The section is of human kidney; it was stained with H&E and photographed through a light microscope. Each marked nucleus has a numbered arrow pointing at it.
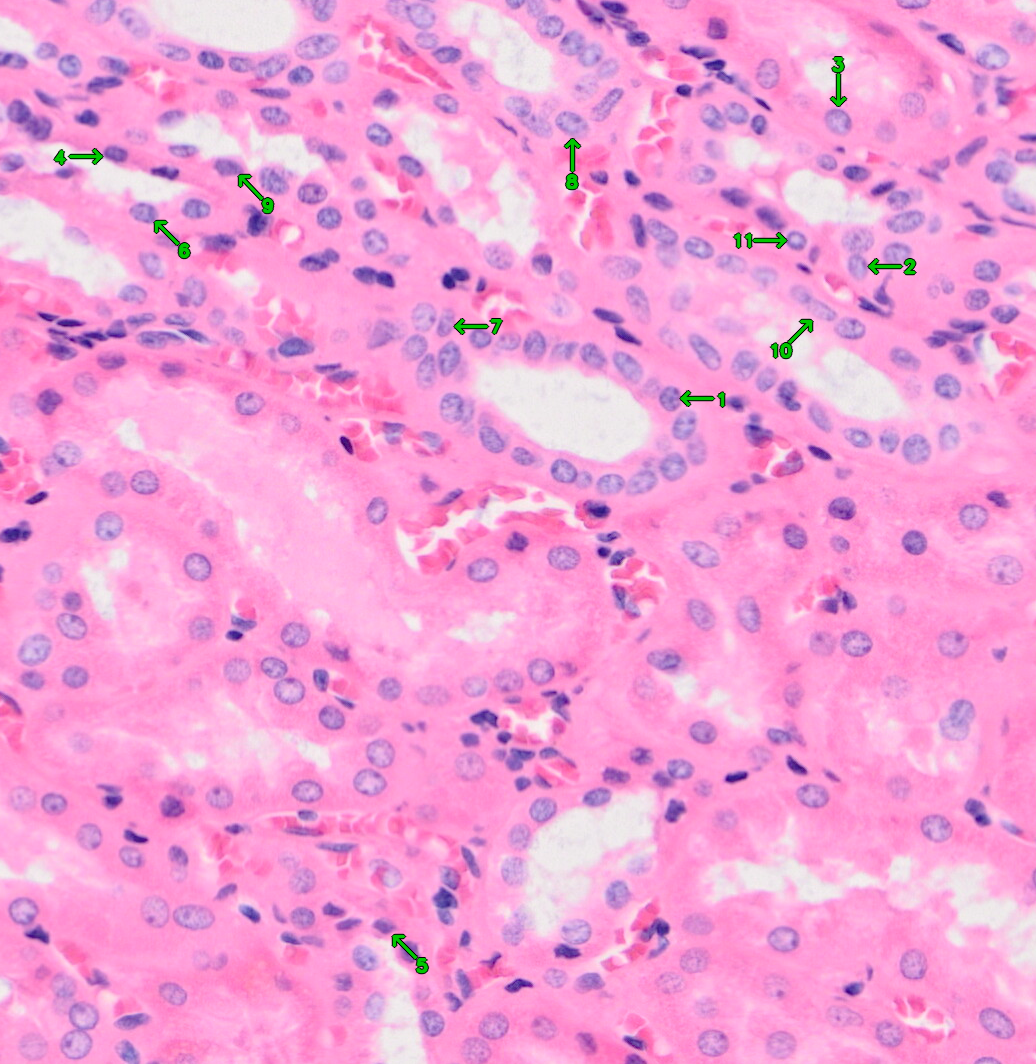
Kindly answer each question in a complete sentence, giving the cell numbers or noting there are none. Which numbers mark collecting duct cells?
Marked by the numbers 1, 2, 7, 8, 10 and 11 are cells that are collecting duct cells.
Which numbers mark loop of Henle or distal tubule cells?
Regarding the numbered cells 4, 5, 6 and 9, these are loop of Henle or distal tubule cells.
